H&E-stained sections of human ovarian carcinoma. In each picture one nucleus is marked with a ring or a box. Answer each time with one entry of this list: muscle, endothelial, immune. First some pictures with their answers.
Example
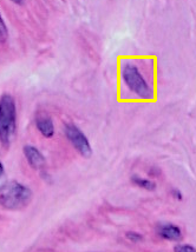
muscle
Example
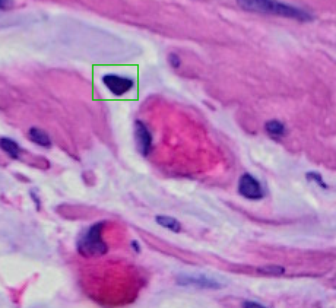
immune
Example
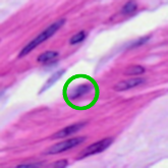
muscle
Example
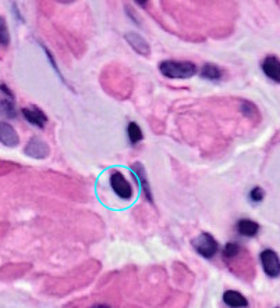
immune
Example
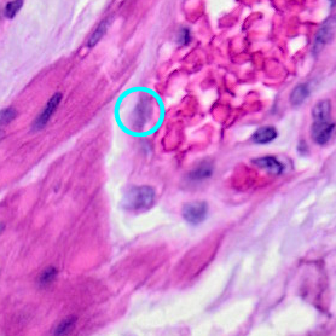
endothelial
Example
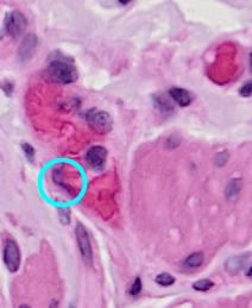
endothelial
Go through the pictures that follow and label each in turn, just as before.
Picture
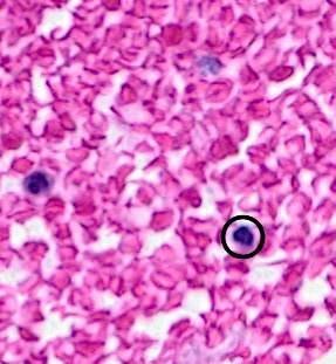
immune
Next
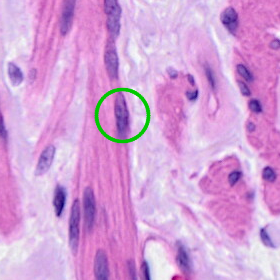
muscle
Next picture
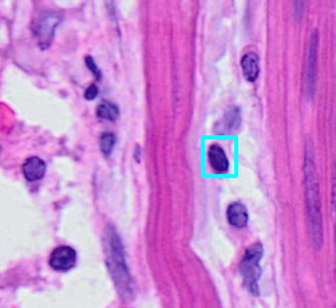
immune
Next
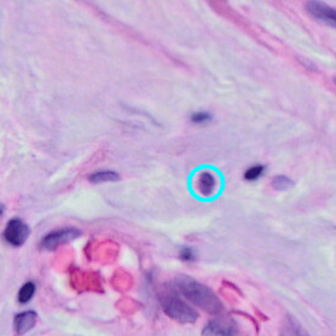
immune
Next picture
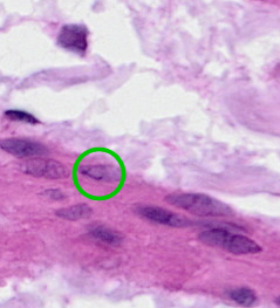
muscle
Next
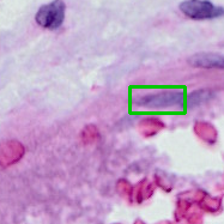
endothelial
